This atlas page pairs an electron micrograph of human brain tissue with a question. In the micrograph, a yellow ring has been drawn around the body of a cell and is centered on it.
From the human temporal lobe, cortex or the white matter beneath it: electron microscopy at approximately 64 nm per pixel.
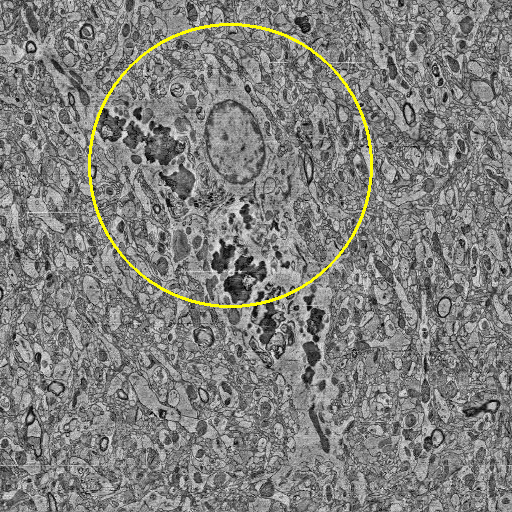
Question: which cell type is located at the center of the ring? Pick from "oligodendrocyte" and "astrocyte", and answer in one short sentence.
Located at the center of the ring is an astrocyte.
